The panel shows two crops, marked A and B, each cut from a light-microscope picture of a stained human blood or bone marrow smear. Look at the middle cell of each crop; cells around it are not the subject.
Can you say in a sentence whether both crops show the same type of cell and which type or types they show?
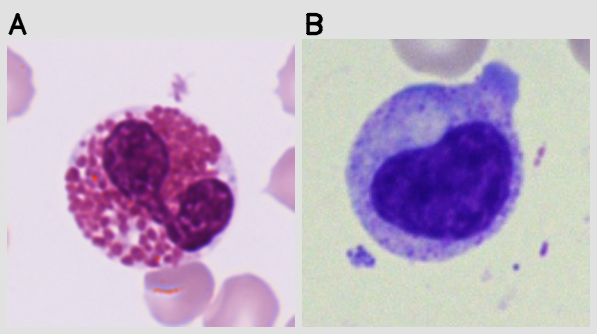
No, an eosinophil is centred in crop A, and a metamyelocyte is centred in crop B.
